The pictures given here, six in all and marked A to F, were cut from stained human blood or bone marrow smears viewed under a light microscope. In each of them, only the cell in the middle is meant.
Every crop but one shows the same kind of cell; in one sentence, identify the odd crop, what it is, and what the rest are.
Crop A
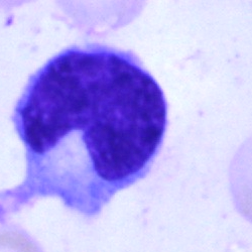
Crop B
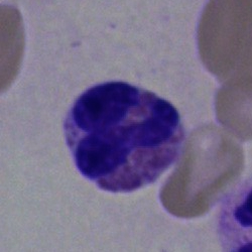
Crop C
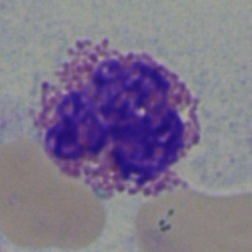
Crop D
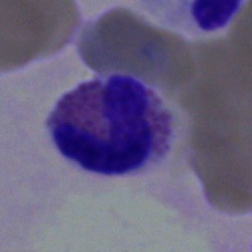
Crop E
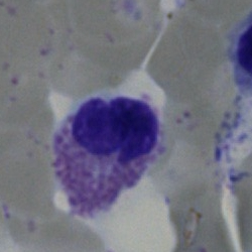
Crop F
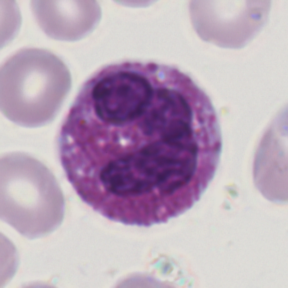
Crop A alone shows a metamyelocyte; the other crops are all eosinophils.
